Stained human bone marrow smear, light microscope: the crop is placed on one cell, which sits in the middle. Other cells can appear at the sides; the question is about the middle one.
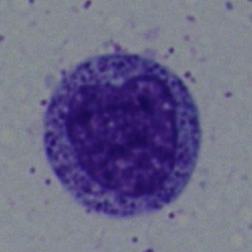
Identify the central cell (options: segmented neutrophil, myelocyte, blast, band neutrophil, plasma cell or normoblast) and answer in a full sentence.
Centred in the crop is a myelocyte.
